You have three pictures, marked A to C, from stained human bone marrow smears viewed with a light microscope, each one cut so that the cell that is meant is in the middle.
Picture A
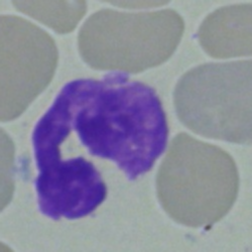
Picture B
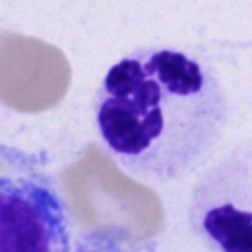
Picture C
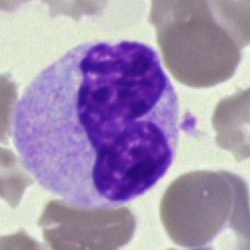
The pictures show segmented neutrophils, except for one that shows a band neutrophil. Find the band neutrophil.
C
